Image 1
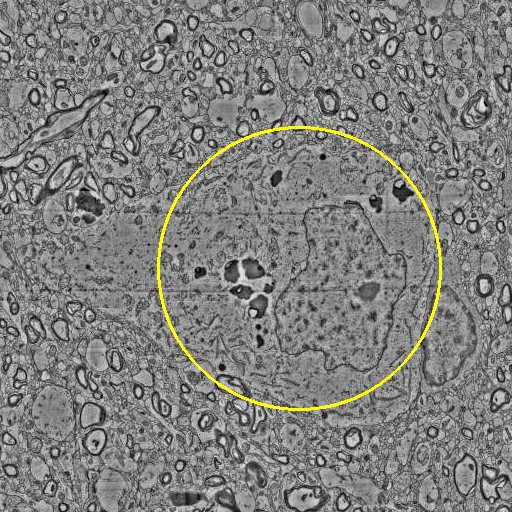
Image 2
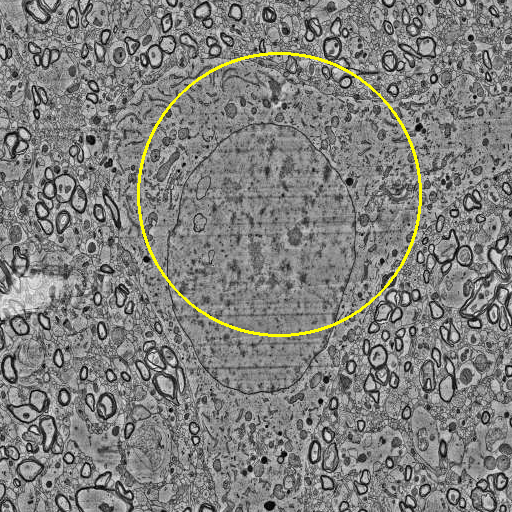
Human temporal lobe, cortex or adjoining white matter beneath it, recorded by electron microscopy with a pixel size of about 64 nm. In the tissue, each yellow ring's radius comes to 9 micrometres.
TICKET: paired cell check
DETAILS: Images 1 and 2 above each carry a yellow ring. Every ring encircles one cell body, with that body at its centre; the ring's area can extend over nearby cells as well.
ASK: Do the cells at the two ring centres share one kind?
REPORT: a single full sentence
Yes, the ring-centre cells of Images 1 and 2 belong to a single kind.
